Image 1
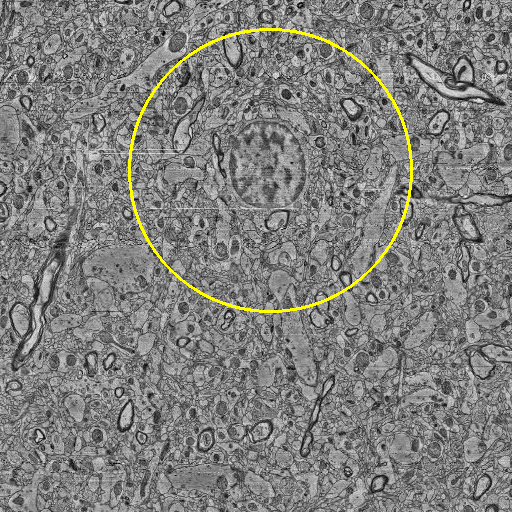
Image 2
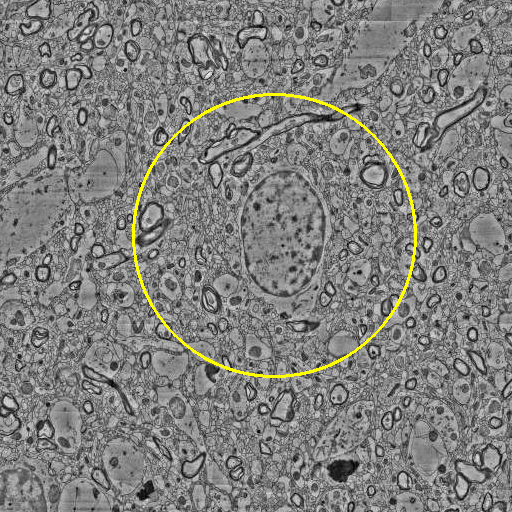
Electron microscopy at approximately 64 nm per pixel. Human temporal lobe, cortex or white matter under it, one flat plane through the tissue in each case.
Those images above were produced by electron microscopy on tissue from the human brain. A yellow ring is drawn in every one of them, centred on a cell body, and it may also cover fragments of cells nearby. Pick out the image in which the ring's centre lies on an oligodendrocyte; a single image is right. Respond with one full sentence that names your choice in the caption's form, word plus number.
Image 1 is my choice: its ring is centred on the requested cell.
